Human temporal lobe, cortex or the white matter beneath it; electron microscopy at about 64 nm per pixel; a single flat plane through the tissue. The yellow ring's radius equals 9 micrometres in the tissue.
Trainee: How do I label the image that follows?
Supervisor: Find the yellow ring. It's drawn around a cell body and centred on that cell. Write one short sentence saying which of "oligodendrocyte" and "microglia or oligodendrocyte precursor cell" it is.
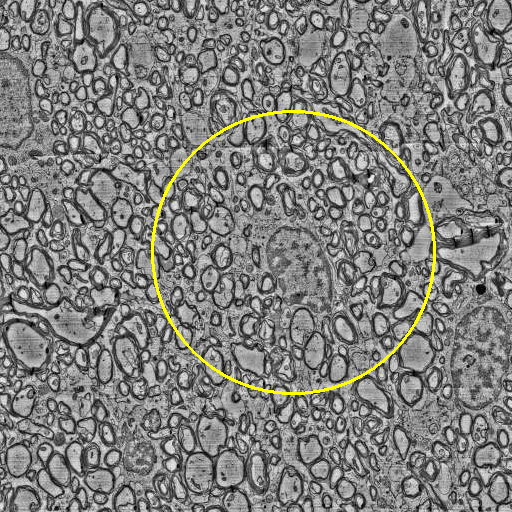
This is the cell body of an oligodendrocyte.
